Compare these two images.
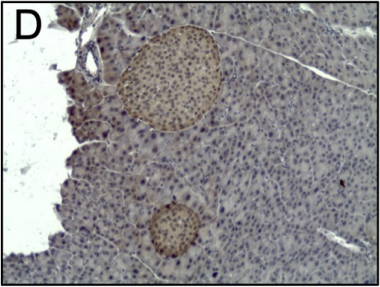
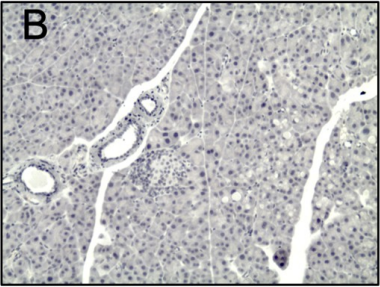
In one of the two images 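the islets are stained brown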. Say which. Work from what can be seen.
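The first image. Second image: a small pale islet among the acini shows no brown colour. First image: two round islets are tinted brown against the grey acinar tissue.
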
